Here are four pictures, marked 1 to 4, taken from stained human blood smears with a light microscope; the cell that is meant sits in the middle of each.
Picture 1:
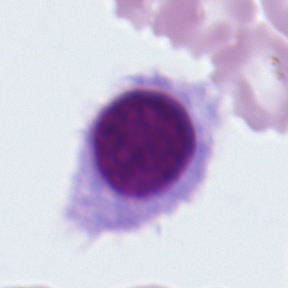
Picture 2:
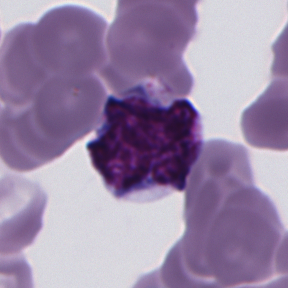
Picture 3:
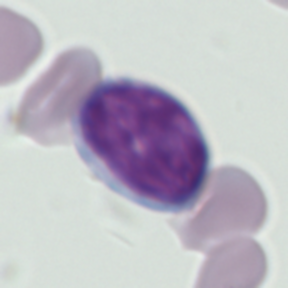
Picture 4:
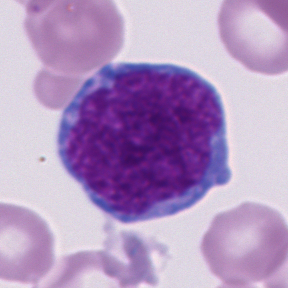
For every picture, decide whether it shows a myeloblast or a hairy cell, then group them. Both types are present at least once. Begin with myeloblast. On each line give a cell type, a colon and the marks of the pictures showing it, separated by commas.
myeloblast: 2, 3, 4
hairy cell: 1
